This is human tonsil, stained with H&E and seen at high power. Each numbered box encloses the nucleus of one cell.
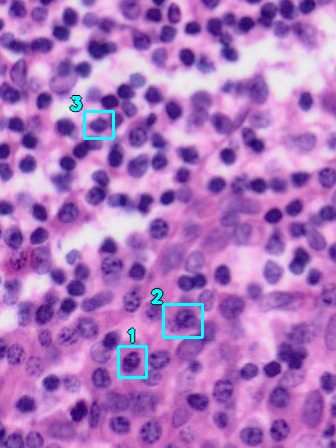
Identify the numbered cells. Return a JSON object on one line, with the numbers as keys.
{"1": "plasma cell", "2": "plasma cell", "3": "small lymphocyte"}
